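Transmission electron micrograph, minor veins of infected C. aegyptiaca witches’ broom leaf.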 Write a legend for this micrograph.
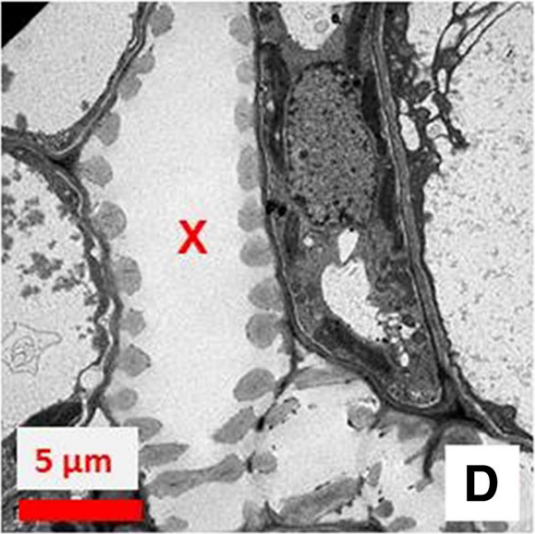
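A xylem cell in lengthwise section, its wide lumen empty and pale, with no bodies inside. Along both side walls, regularly spaced, rounded grey thickenings project into the lumen, giving the walls a beaded outline. To the right lies a narrow neighbouring cell with dense, dark cytoplasm and a large granular body, bounded by thin walls. Further cells with pale contents flank the vessel on both sides.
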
